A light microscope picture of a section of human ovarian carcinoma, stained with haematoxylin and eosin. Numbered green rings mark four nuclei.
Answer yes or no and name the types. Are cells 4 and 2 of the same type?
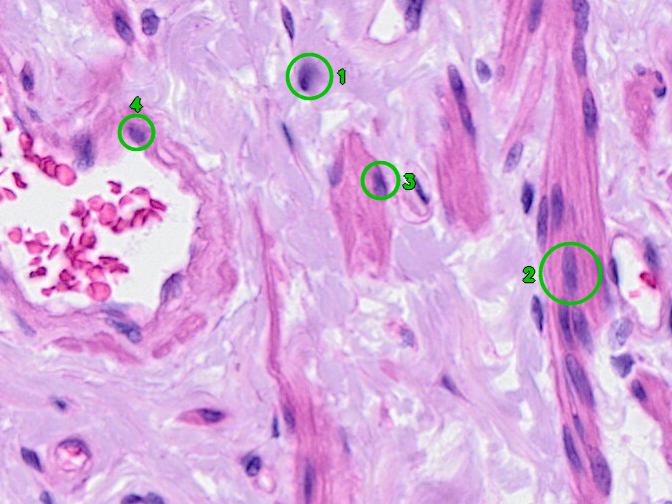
No, hold on, cell 4 is an endothelial cell and cell 2 is a smooth muscle cell.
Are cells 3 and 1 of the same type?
No, cell 3 is a smooth muscle cell, but cell 1 is a fibroblast.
